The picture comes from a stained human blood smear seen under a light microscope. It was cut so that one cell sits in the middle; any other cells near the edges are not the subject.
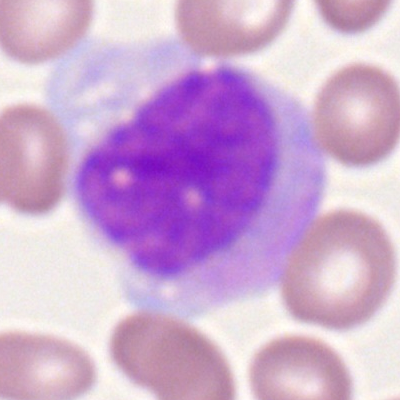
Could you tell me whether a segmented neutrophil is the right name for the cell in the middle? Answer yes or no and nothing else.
no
